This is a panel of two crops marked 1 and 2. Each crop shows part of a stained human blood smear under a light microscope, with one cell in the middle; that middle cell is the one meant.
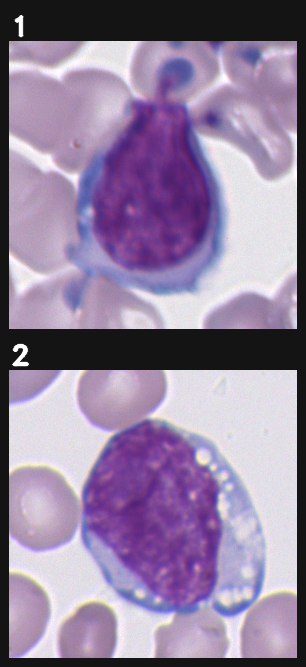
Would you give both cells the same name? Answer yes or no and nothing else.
yes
